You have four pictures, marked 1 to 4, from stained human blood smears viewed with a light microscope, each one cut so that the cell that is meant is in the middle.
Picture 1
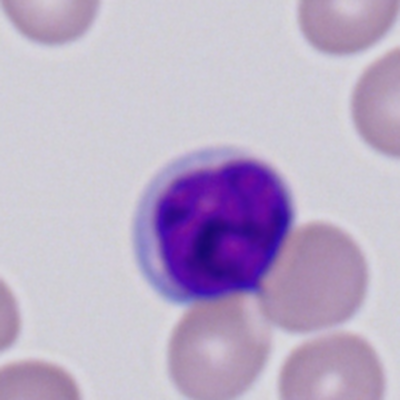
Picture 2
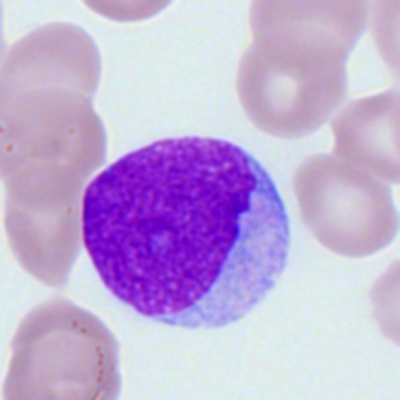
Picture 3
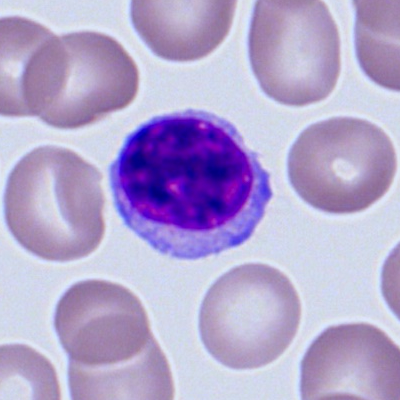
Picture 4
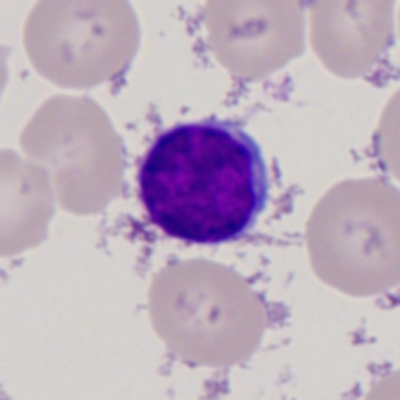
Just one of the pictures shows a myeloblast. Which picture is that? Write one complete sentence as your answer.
It is picture 2 that shows the myeloblast.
